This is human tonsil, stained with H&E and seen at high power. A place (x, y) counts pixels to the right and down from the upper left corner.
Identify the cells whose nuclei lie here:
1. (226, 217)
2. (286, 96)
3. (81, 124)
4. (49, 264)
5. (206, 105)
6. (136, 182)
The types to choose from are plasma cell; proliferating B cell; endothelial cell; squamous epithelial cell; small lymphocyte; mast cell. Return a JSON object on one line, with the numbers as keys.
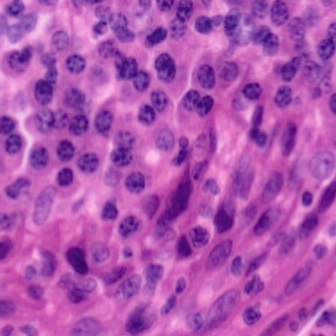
{"1": "squamous epithelial cell", "2": "plasma cell", "3": "plasma cell", "4": "squamous epithelial cell", "5": "plasma cell", "6": "plasma cell"}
